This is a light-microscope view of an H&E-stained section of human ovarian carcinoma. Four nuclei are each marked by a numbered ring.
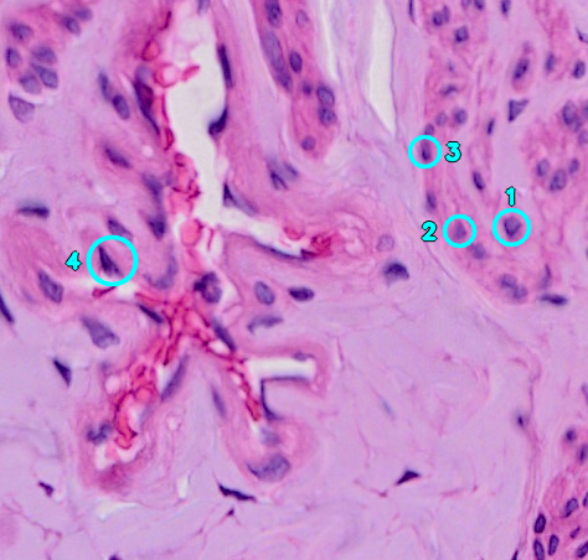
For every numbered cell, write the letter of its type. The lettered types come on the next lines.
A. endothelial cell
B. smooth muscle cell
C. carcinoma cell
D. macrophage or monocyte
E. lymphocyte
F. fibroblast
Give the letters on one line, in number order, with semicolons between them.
B; B; B; A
